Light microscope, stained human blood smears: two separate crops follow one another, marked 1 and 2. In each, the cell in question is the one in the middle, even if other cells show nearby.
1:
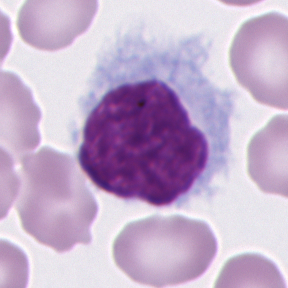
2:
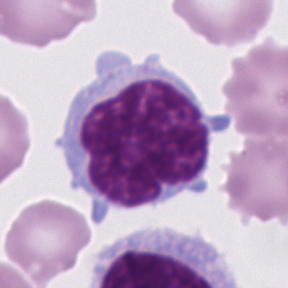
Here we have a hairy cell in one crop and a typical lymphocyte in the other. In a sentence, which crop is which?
Within crop 1 sits a hairy cell, and within crop 2 sits a typical lymphocyte.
